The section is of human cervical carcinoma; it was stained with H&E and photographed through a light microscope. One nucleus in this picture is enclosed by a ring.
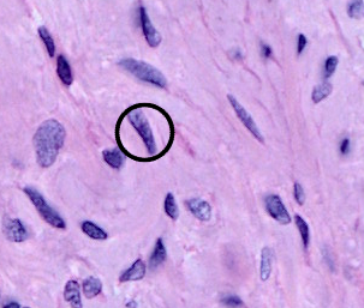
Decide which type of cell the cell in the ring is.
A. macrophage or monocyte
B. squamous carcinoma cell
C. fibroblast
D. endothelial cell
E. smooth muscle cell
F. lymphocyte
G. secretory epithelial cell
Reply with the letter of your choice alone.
C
